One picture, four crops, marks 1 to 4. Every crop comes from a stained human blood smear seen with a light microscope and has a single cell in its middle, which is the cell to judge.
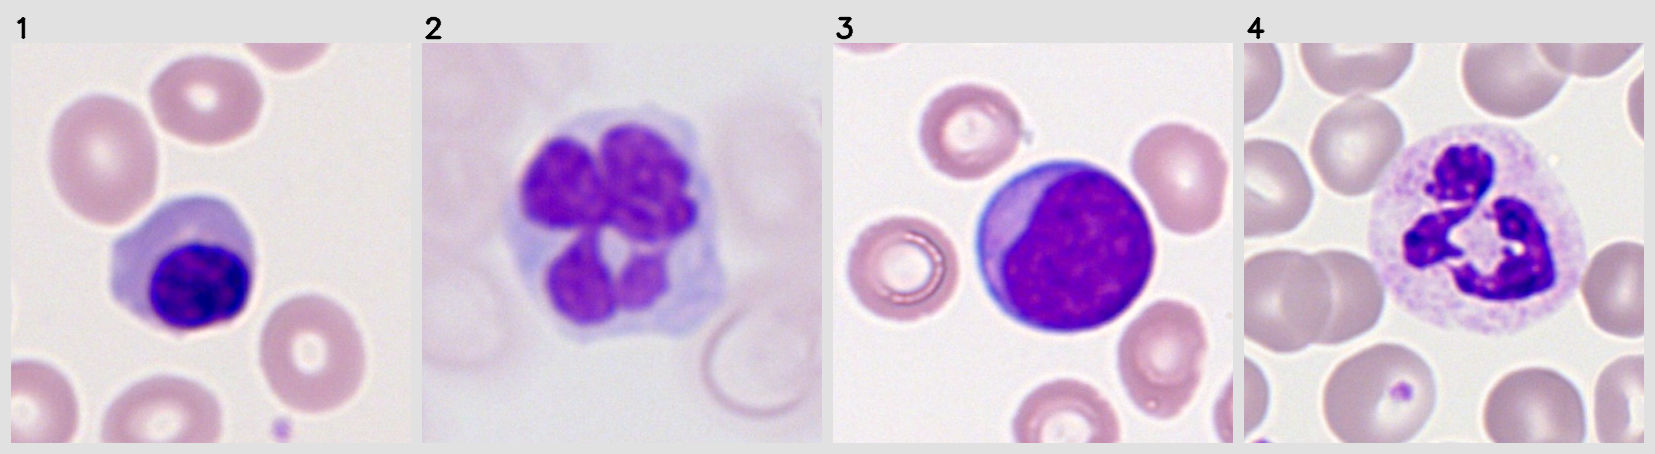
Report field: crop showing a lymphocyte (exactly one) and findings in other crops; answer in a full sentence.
Crop 1 is recognised as a lymphocyte, whereas crop 2 is a monocyte, crop 3 is a blast and crop 4 is a neutrophil.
